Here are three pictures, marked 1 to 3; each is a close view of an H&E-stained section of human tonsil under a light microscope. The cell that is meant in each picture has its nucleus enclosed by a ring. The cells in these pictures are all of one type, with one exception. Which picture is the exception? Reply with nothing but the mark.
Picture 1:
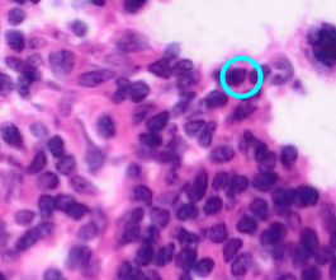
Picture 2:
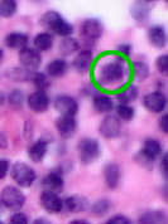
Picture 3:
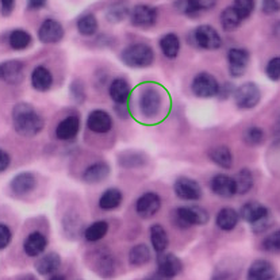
3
